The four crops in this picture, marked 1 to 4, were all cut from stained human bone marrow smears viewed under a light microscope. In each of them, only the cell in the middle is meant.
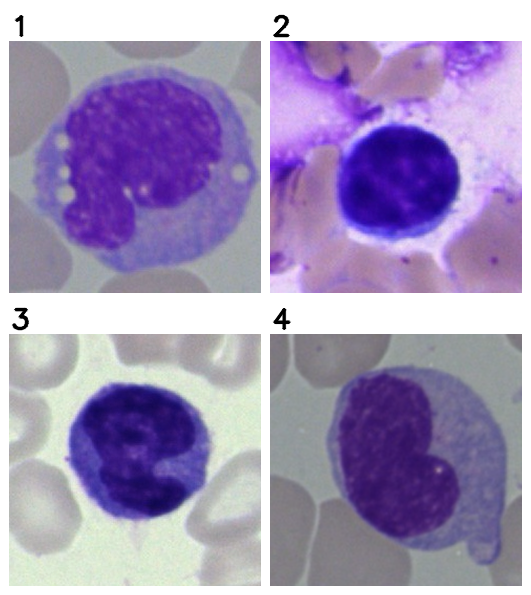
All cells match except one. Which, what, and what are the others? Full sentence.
All the crops show monocytes except crop 2, which shows a lymphocyte.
